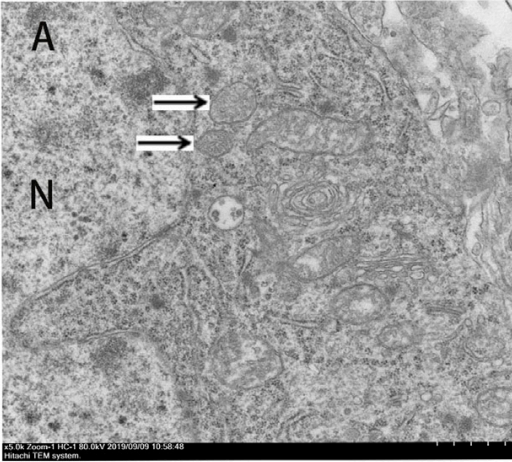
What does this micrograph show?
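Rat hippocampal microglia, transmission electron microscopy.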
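The nucleus has finely dispersed chromatin with a few small darker patches. The cytoplasm is dense with ribosomes and holds oval mitochondria with intact cristae, cisternae of endoplasmic reticulum and a concentric membrane whorl. Neighbouring cell profiles border it at the right.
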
